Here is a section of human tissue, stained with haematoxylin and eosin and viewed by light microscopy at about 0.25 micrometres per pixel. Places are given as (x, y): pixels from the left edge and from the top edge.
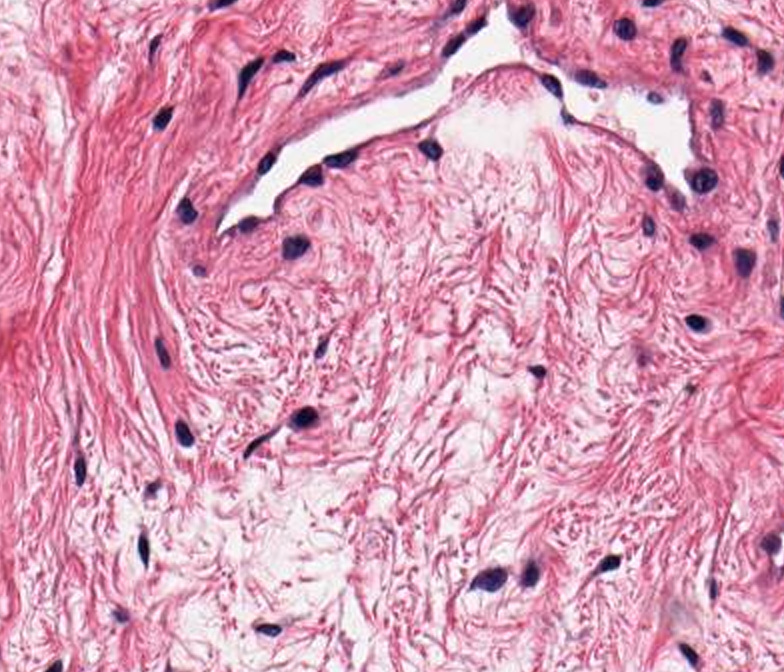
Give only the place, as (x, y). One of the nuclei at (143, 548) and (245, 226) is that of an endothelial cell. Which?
(245, 226)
